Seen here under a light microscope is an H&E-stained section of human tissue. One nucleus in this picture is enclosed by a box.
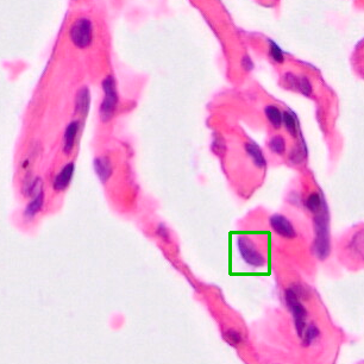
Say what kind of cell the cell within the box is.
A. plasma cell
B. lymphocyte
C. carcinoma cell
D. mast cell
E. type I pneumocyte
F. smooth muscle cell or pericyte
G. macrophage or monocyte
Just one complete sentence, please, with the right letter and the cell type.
Option E holds, since the cell within the box is a type I pneumocyte.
